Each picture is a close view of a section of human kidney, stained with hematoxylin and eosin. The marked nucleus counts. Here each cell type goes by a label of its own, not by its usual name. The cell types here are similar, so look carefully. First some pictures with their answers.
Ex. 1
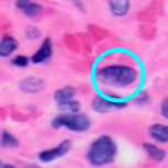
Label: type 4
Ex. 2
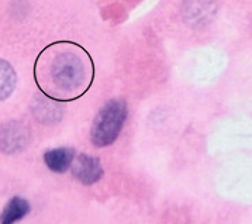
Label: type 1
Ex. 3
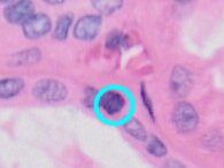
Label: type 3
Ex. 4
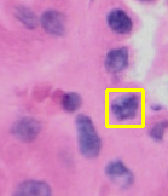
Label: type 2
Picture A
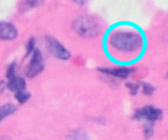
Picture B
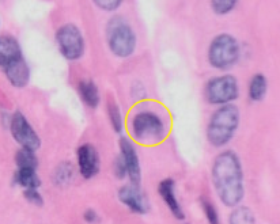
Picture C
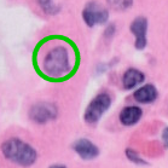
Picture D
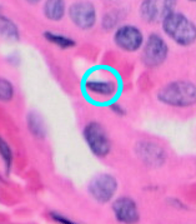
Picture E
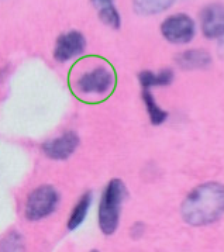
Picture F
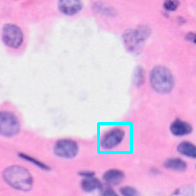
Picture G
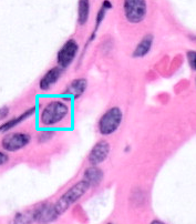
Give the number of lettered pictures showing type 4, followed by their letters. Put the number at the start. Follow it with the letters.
Count: 1 (D)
